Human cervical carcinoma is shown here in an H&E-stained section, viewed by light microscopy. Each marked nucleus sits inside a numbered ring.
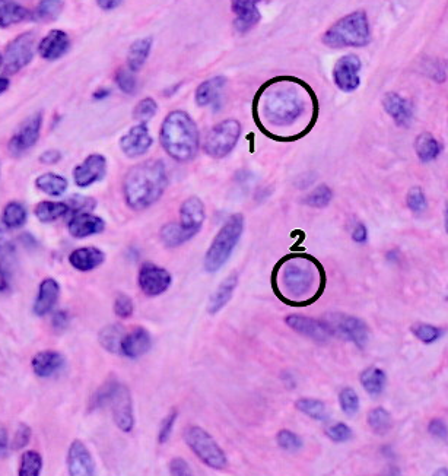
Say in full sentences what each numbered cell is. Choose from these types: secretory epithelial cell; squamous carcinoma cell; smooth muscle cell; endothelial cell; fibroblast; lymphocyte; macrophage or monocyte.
Cell 1 is an endothelial cell. Cell 2 is a smooth muscle cell.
